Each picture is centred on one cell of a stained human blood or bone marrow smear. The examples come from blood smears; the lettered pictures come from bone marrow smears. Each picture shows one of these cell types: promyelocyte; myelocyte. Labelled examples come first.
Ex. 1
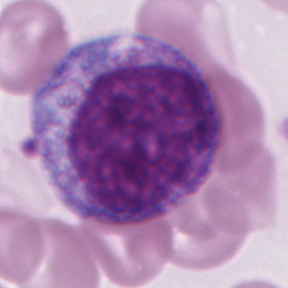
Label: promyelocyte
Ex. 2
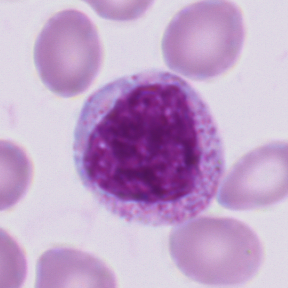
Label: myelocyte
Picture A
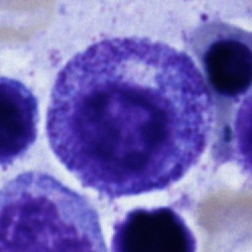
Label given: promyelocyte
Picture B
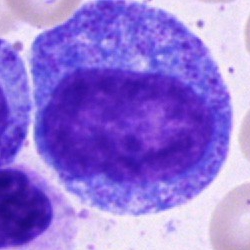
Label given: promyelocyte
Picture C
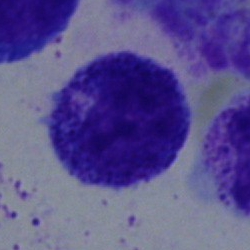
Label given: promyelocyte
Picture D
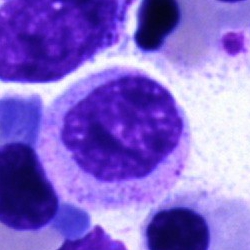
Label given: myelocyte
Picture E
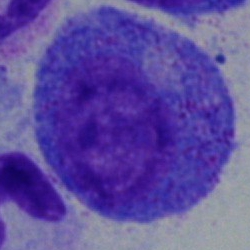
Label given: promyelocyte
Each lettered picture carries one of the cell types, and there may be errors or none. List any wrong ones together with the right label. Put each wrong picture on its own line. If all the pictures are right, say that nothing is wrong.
All correct.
